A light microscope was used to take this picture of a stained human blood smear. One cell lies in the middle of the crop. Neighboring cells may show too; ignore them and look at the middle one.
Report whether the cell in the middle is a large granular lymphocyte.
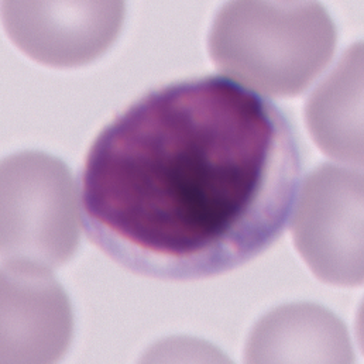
yes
